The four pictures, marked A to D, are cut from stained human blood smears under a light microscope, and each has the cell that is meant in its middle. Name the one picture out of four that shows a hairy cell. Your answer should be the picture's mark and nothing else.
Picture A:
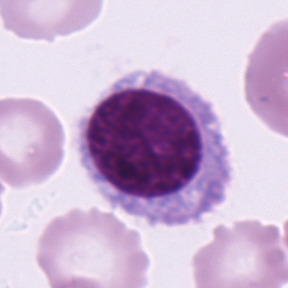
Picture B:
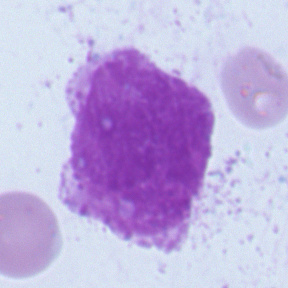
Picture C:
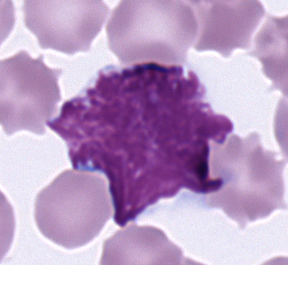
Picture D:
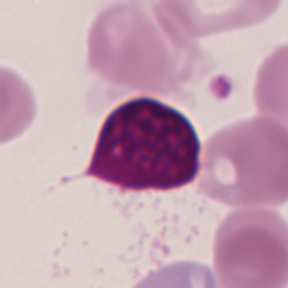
A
